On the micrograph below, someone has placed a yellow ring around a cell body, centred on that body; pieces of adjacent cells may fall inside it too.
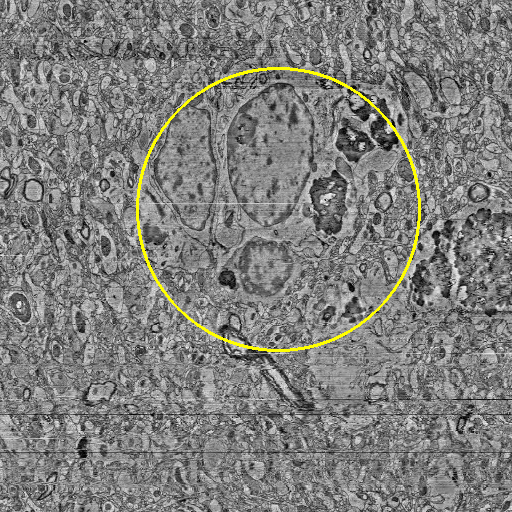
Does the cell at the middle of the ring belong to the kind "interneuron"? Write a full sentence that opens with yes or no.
No, the micrograph shows another kind of cell at the ring's centre.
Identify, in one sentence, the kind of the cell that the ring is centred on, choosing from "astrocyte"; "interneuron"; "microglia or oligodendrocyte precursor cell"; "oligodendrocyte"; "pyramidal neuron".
Instead, the ring in this picture marks an astrocyte.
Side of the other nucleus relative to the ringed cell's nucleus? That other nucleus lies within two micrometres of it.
The other nucleus is located to the left of it.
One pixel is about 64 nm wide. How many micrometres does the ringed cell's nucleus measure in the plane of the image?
In this plane, approximately 9 by 6 micrometers, and clearly longer than it is wide.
